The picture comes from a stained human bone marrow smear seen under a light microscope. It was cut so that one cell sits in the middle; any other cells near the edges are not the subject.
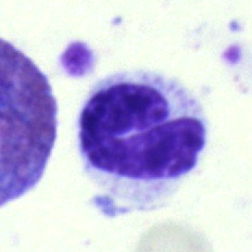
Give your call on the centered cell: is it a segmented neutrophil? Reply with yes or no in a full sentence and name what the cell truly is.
No, the central cell is counted as a band neutrophil instead of a segmented neutrophil.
